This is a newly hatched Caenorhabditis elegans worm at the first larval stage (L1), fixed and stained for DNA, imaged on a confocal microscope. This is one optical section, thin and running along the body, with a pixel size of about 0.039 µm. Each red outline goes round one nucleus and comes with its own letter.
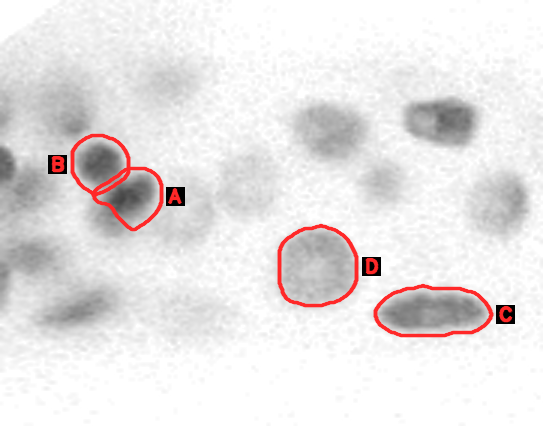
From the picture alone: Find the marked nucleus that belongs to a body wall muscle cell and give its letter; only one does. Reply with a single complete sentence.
Of the marked nuclei, C is the one in a body wall muscle cell.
